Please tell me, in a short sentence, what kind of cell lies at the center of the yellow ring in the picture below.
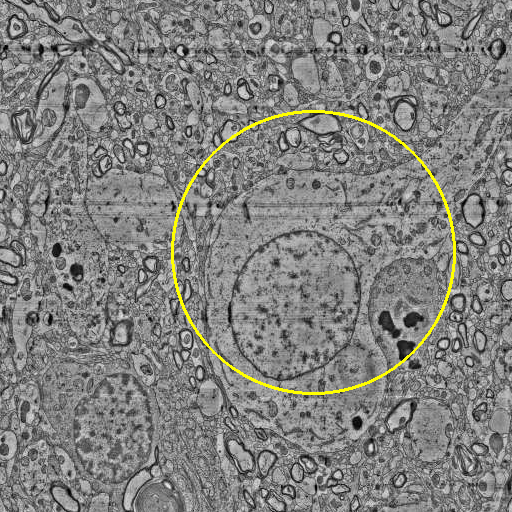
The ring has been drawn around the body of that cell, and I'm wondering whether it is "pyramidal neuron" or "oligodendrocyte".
The cell at the center of the ring is a pyramidal neuron.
